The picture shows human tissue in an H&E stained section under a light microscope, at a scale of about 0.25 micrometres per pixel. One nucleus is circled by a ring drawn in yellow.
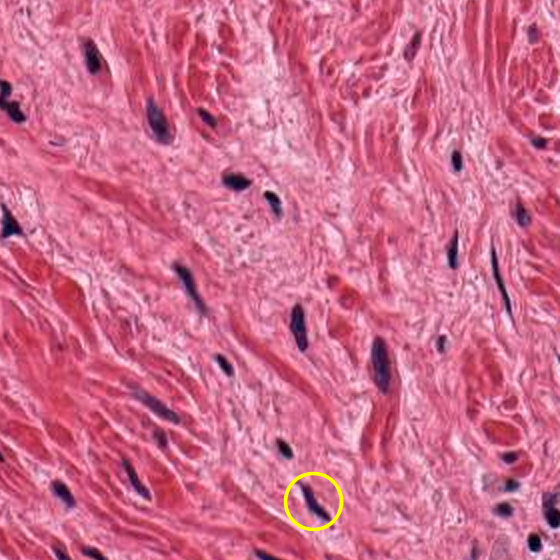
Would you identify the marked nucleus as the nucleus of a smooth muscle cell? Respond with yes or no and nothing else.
no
